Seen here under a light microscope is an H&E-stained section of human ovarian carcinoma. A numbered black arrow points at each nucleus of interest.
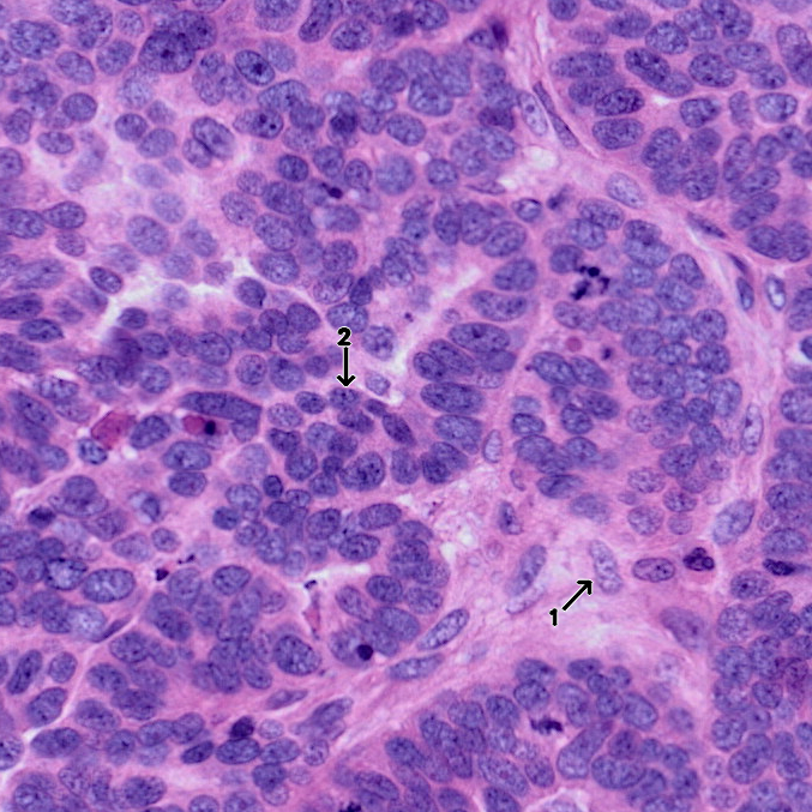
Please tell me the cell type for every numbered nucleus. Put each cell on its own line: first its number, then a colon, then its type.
1: fibroblast
2: carcinoma cell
